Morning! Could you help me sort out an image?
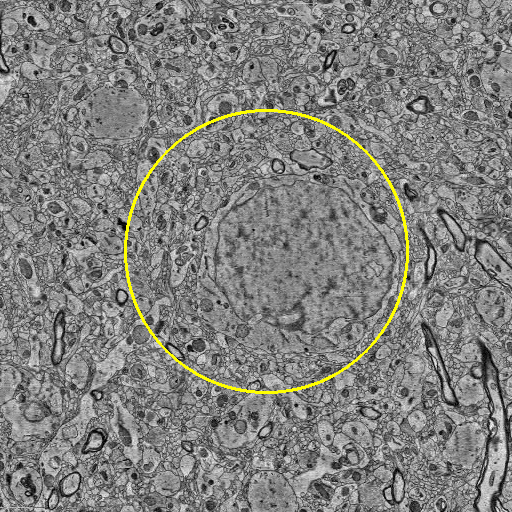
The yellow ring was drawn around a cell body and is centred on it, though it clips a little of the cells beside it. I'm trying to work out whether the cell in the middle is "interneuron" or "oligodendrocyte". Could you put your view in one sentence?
The ringed cell body is that of an interneuron.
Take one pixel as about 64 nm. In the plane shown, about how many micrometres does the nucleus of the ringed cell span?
The ringed cell's nucleus measures approximately 12 by 10 micrometres in this plane.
